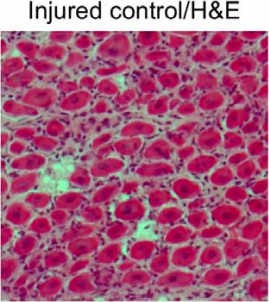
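The field is filled with many small, round pink muscle fibers in cross-section, closely set and similar in size. Most fibers have one dark nucleus placed centrally, and thin pale strands of connective tissue separate them. A few small clusters of interstitial nuclei lie between fibers. This even sheet of small centrally nucleated fibers is regenerating skeletal muscle.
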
